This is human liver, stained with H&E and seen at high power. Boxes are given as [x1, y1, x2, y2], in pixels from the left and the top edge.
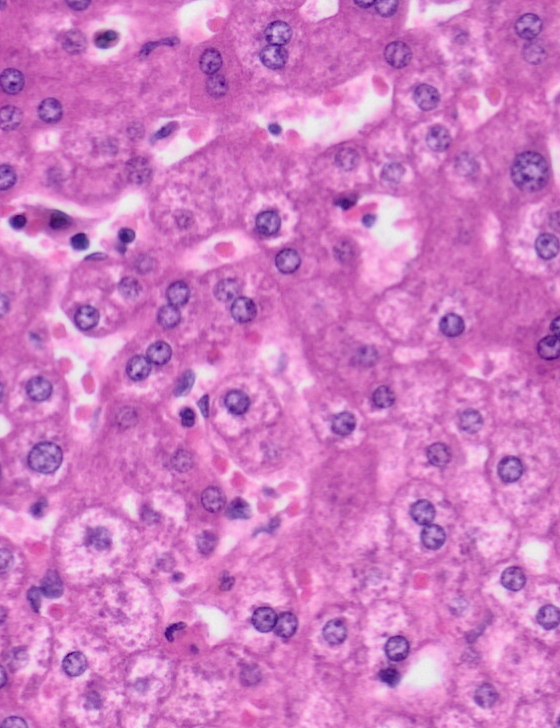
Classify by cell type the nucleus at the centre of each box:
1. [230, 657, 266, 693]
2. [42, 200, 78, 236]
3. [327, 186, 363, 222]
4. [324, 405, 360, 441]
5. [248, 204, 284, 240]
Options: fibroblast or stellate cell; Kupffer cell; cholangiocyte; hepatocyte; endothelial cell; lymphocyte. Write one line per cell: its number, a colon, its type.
1: hepatocyte
2: Kupffer cell
3: endothelial cell
4: hepatocyte
5: hepatocyte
